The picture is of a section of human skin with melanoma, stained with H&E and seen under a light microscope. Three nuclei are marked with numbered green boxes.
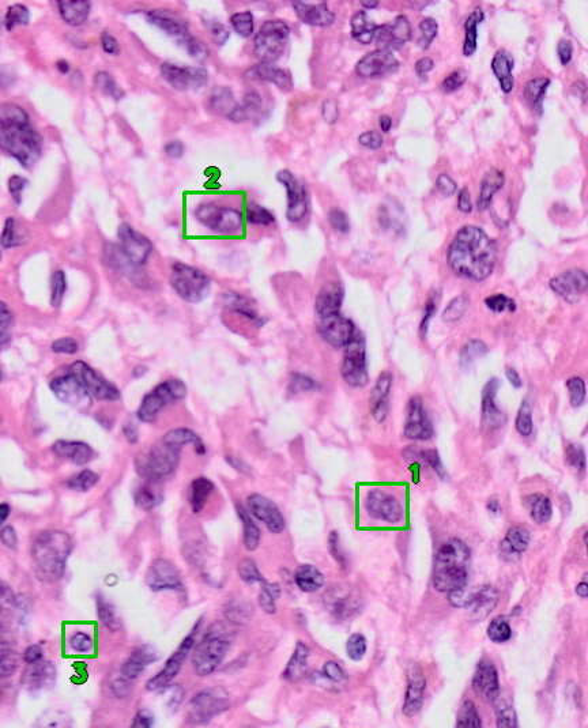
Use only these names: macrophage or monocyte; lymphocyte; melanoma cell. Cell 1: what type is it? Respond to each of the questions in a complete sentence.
The nucleus labeled 1 belongs to a macrophage or monocyte.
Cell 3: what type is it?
The marked nucleus 3 is that of a lymphocyte.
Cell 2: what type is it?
Cell 2 is classified as a melanoma cell.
